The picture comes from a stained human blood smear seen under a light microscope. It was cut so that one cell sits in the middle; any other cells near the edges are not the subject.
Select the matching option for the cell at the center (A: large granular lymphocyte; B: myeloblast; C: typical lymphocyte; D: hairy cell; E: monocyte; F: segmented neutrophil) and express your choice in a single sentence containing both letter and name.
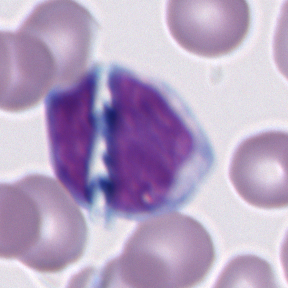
The cell in the middle is a myeloblast, and that makes option B correct.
